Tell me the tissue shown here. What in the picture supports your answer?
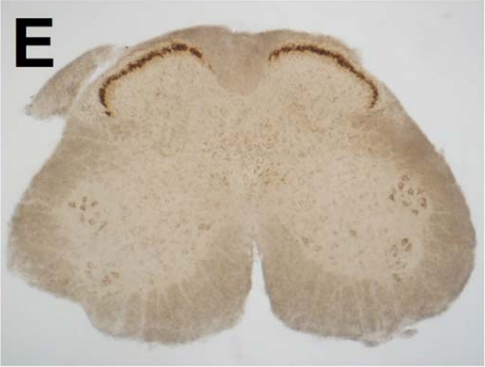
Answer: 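Transverse section with butterfly-shaped gray matter surrounded by white matter. Ventral median fissure at the bottom and dorsal midline at the top.
Answer: spinal cord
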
